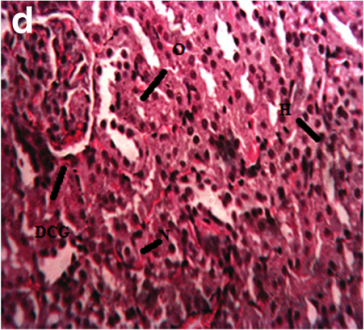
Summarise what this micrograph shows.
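Renal cortex is shown with a glomerulus at the left and surrounding tubules whose outlines are disrupted. The glomerular tuft is irregular and unevenly stained within its capsule. The tubules are poorly defined, with crowded dark nuclei scattered through a pale, purplish cytoplasm. Many irregular pale gaps lie between the tubules, giving the tissue a loosened appearance.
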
